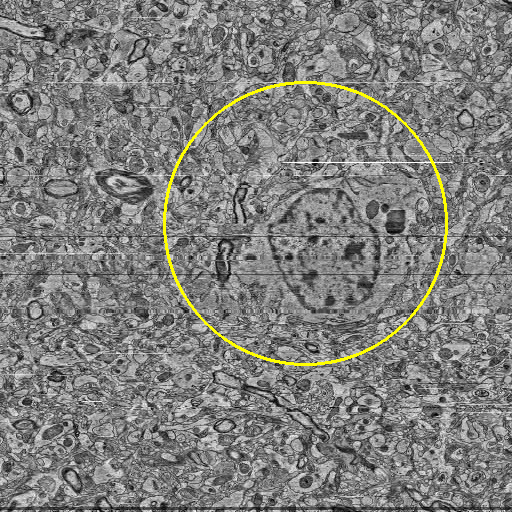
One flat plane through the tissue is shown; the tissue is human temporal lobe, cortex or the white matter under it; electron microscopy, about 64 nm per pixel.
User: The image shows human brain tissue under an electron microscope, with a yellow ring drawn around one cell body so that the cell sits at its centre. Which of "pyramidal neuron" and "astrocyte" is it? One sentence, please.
At the centre of the ring sits an astrocyte.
